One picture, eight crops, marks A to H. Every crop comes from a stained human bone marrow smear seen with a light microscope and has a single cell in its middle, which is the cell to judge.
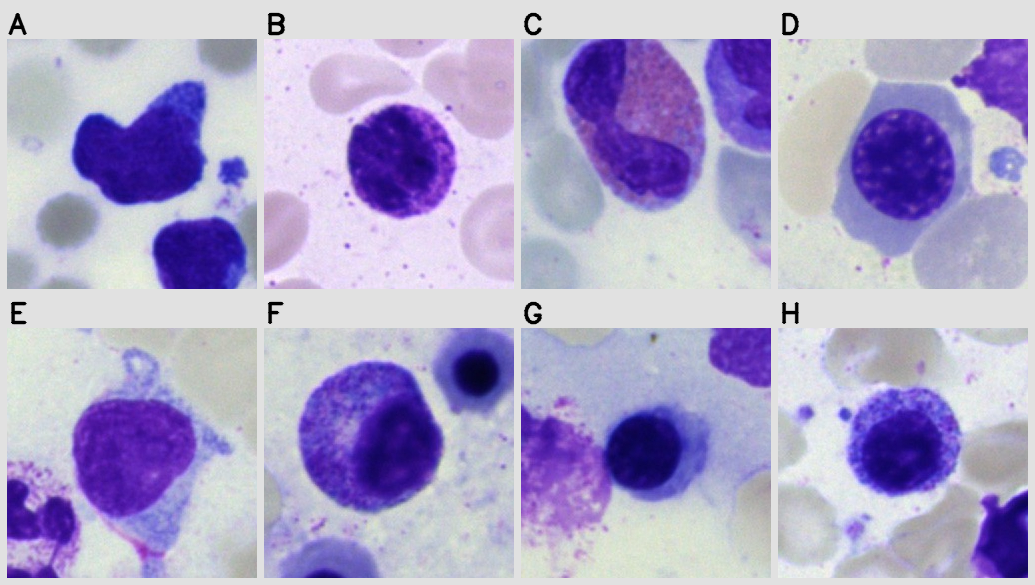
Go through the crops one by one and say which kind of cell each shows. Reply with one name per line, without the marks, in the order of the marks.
blast
basophil
eosinophil
normoblast
hairy cell
myelocyte
normoblast
myelocyte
